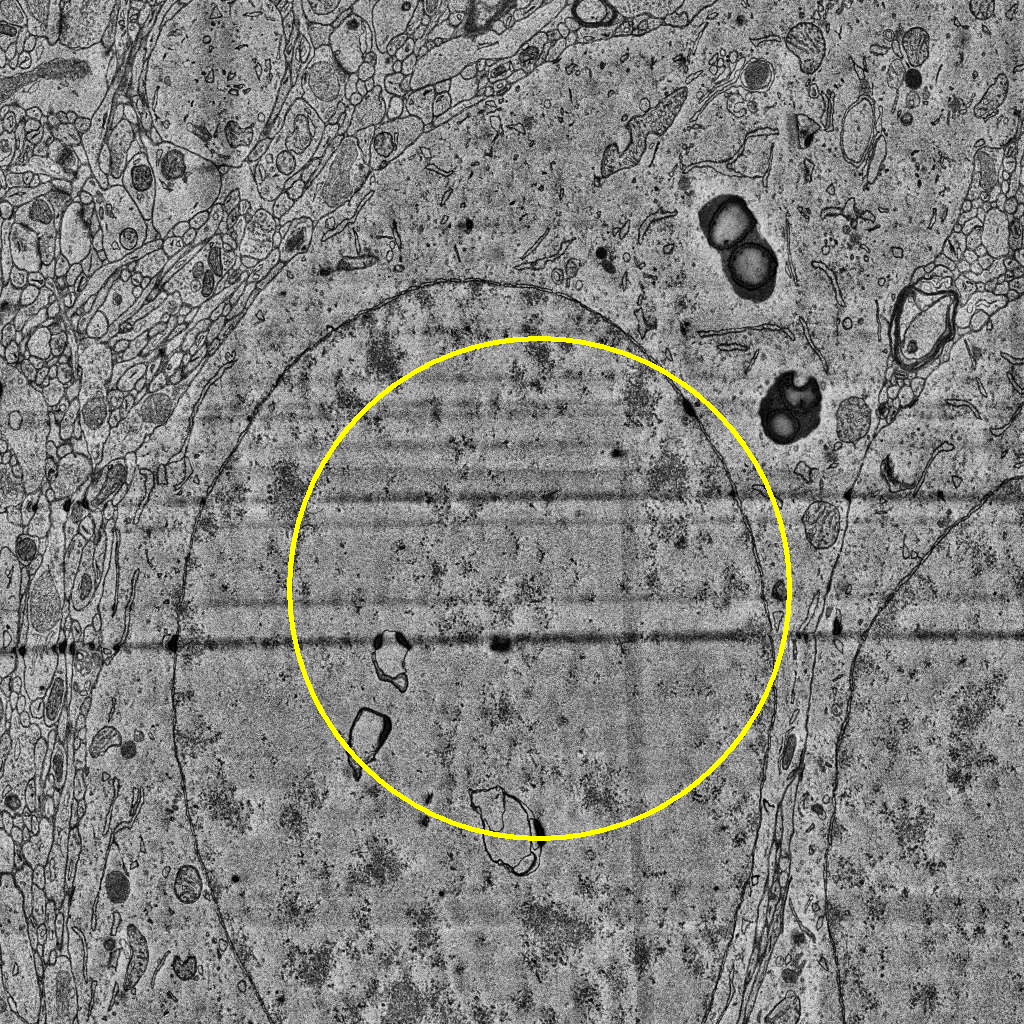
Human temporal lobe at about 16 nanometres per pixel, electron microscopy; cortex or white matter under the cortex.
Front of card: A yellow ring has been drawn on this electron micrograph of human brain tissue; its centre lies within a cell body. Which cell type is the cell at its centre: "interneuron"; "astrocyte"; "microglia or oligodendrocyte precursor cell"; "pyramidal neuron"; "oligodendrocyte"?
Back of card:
pyramidal neuron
